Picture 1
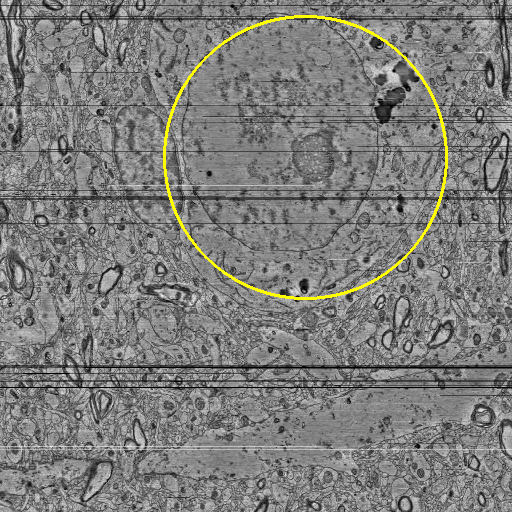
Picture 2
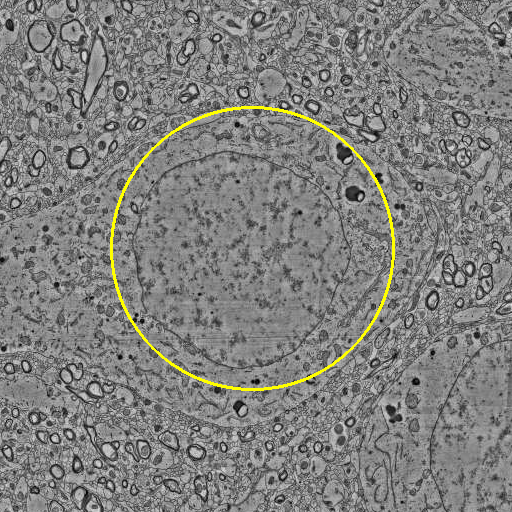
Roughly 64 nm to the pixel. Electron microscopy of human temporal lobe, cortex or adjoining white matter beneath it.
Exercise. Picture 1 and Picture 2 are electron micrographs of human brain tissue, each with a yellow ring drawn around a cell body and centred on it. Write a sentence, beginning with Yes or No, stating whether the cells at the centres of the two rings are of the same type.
Yes, the cells at the centres of both rings are of the same type.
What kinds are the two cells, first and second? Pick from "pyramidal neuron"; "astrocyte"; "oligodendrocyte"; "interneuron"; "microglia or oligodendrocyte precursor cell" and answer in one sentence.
Each of the two rings surrounds a pyramidal neuron.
